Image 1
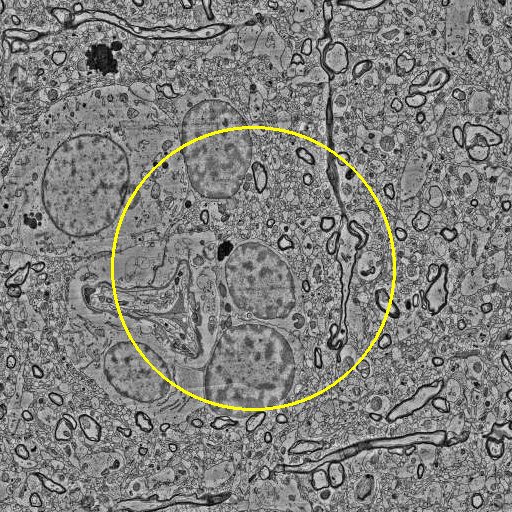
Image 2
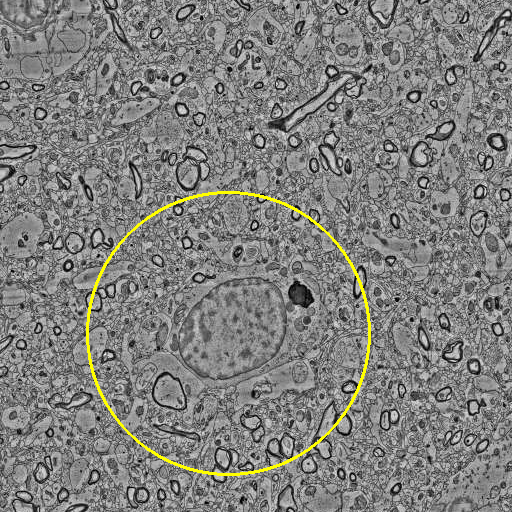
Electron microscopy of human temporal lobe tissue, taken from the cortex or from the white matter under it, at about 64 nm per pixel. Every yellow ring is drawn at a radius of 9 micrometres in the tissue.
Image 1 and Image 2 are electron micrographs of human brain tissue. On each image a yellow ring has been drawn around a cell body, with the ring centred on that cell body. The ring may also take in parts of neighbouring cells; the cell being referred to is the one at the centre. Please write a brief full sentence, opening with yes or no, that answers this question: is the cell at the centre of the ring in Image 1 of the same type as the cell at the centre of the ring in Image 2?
Yes, both cells are of the same type.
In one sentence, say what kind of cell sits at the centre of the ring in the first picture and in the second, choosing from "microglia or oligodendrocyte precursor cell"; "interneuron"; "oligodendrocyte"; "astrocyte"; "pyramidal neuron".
The cell at the ring centre is an oligodendrocyte in both pictures.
